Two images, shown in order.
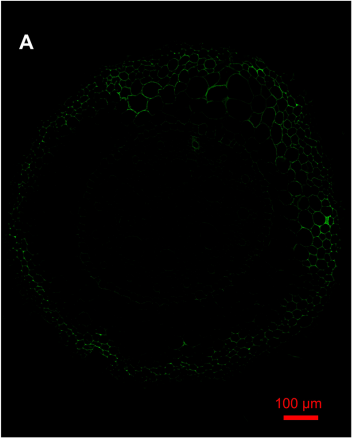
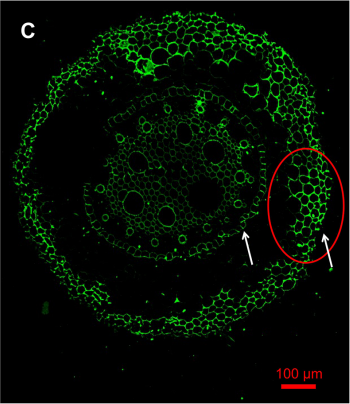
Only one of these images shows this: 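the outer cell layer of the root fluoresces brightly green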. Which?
The second image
